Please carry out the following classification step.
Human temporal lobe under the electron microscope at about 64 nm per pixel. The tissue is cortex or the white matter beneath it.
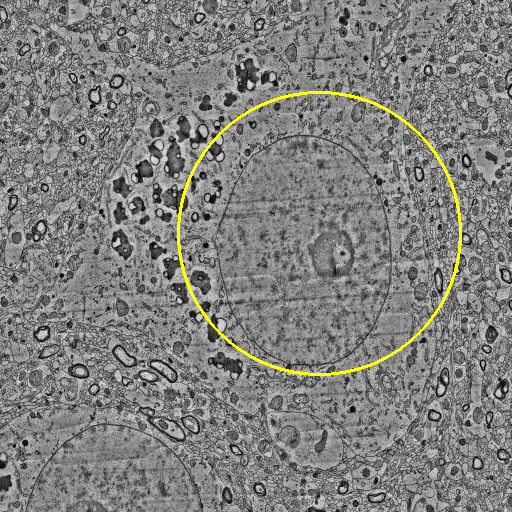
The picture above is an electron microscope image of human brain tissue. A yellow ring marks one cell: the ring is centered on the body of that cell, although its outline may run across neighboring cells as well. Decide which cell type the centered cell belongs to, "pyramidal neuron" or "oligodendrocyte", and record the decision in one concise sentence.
The cell centered in the yellow ring is a pyramidal neuron.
